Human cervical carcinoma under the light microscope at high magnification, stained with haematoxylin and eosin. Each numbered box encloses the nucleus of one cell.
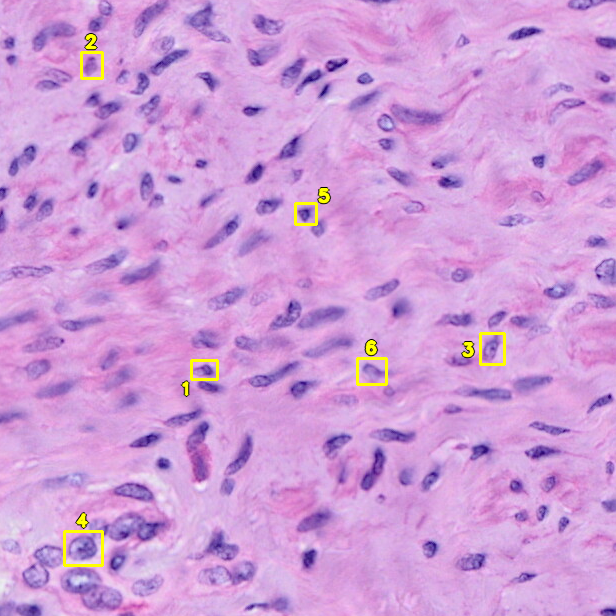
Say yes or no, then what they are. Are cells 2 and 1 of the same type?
Yes, within the numbered set, cells 2 and 1 are both smooth muscle cells.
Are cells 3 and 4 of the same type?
No, cell 3 is a smooth muscle cell, with cell 4 being an endothelial cell.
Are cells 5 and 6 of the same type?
No, cell 5 is a fibroblast; cell 6 is a smooth muscle cell.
